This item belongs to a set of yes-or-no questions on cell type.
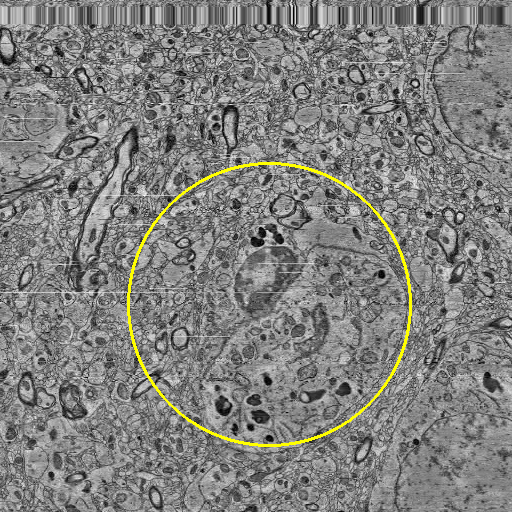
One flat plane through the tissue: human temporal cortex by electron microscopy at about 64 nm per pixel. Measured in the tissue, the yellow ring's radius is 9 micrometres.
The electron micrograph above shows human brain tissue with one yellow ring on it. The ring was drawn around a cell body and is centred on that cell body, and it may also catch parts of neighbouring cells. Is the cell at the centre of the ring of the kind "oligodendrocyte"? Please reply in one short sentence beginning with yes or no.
No, that cell is of another kind.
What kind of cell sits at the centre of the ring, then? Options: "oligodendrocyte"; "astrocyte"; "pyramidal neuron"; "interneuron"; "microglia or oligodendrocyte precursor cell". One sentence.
This picture has a microglial cell or oligodendrocyte precursor cell at the centre of its ring.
